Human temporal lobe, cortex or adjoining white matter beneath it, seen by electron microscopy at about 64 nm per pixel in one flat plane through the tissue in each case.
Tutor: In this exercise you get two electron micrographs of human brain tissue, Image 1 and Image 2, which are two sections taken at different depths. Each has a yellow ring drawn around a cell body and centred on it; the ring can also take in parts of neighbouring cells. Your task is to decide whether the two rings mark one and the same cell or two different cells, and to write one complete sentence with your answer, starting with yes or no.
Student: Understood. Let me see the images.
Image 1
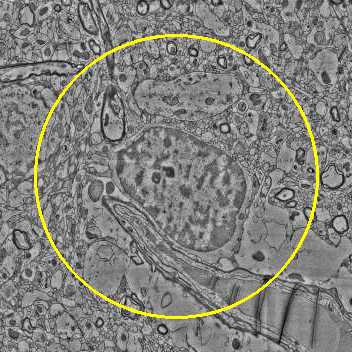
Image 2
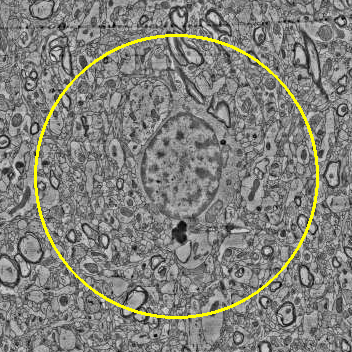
No, the yellow rings highlight two different cells in the tissue.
